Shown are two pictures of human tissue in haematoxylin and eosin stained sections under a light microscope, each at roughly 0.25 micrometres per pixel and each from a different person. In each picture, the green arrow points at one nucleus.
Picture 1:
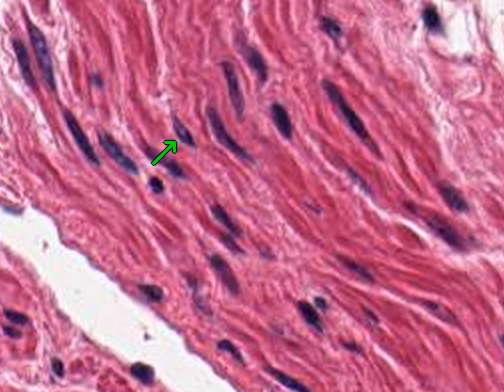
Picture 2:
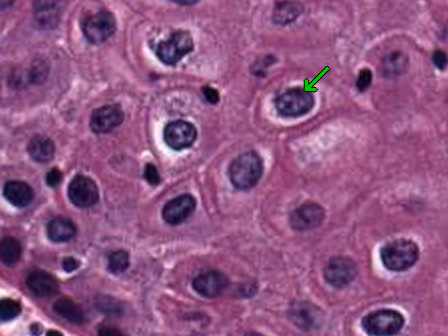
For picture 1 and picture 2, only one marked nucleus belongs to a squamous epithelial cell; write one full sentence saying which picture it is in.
The nucleus of a squamous epithelial cell carries the mark in picture 2.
